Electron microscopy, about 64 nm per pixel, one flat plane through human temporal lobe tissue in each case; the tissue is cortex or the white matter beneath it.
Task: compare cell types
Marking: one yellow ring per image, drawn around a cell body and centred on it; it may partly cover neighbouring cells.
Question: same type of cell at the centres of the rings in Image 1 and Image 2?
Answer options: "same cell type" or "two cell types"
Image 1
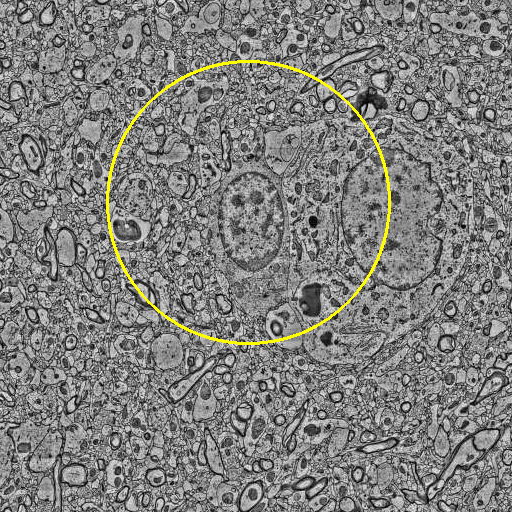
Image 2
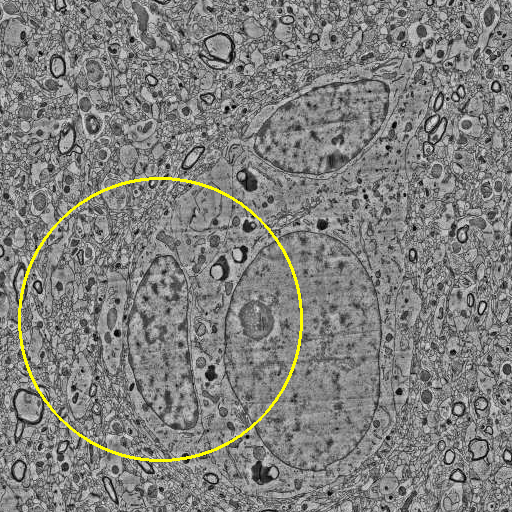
two cell types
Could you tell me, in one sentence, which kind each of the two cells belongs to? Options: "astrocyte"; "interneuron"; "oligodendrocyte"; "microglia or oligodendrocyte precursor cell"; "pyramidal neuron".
At the centre of the first ring sits an oligodendrocyte, and at the centre of the second sits a microglial cell or oligodendrocyte precursor cell.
